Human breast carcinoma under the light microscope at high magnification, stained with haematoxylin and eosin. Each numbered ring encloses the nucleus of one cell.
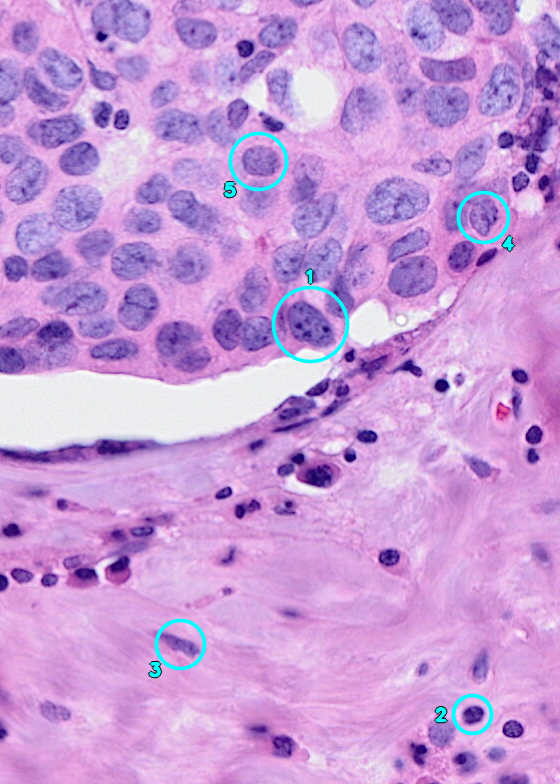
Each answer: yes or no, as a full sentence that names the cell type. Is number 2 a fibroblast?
No, number 2 identifies a lymphocyte, not a fibroblast.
